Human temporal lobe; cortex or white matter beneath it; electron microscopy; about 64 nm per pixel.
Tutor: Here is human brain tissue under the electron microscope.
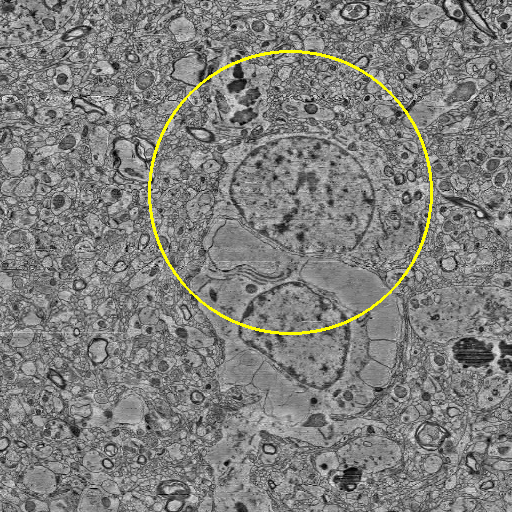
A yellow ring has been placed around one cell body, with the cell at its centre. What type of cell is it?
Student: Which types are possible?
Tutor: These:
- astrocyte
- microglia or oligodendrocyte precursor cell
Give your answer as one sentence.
What the ring picks out here is an astrocyte.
